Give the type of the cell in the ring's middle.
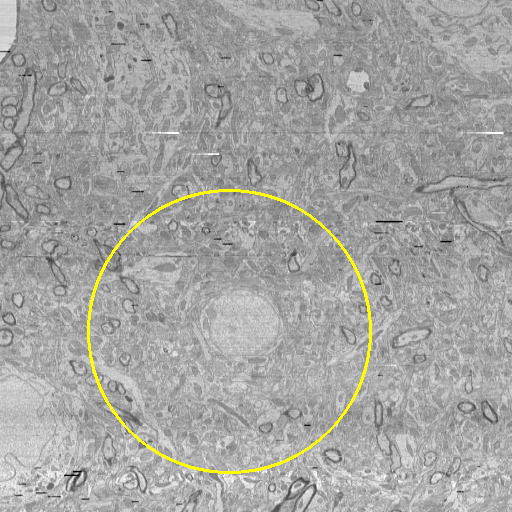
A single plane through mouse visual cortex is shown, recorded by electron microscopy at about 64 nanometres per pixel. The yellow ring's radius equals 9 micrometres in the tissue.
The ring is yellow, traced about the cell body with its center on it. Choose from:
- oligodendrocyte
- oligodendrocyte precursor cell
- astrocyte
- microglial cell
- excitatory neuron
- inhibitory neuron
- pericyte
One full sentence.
Here, an oligodendrocyte precursor cell is the cell lying at the center of the yellow ring.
